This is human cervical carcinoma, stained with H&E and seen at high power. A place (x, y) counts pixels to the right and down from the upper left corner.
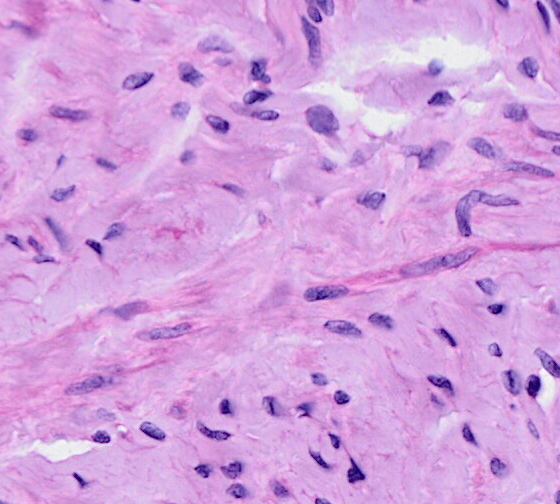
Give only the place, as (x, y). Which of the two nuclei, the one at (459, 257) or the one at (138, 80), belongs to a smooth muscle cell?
(459, 257)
